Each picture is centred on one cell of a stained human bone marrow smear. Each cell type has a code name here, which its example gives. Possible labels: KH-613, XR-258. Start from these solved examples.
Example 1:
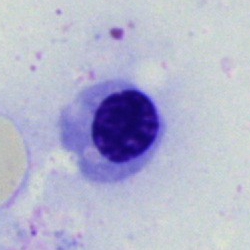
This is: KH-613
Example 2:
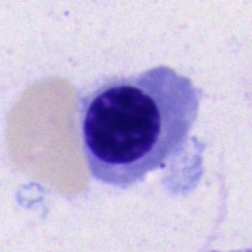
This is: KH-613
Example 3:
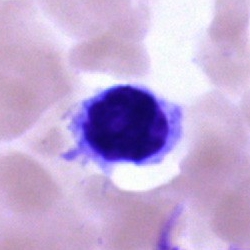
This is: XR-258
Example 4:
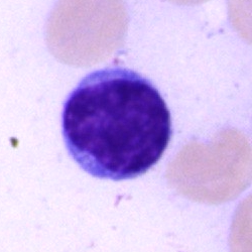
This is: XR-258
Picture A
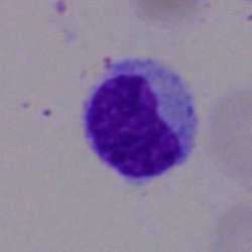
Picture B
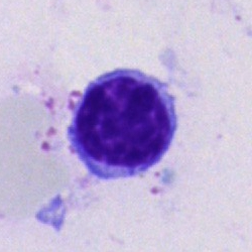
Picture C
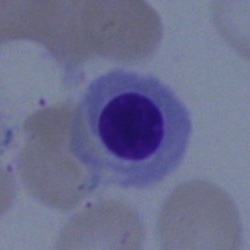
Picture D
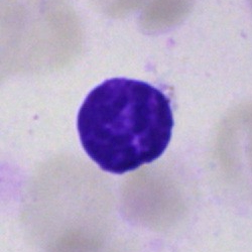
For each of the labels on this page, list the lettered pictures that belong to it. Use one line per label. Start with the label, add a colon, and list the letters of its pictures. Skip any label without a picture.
KH-613: C
XR-258: A, B, D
